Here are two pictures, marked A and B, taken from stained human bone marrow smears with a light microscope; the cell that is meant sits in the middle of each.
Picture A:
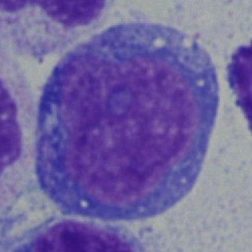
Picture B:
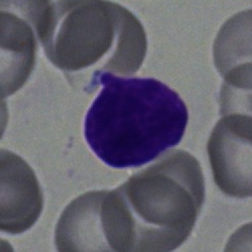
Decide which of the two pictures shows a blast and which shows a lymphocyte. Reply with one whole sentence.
In picture A the cell is a blast; in picture B, a lymphocyte.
